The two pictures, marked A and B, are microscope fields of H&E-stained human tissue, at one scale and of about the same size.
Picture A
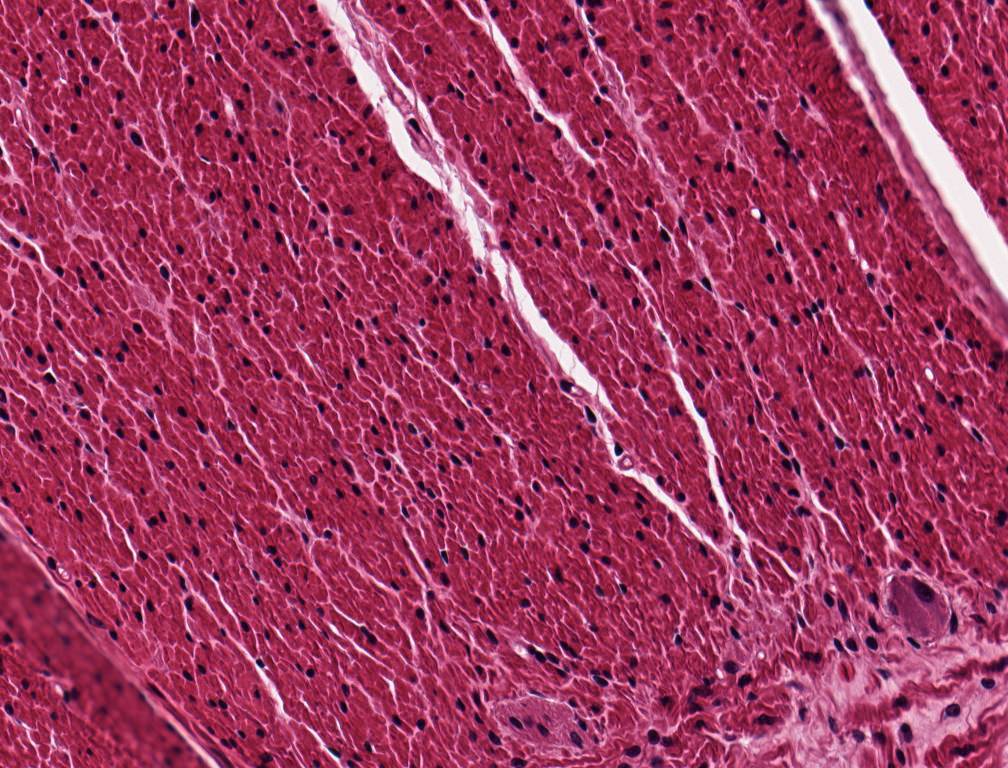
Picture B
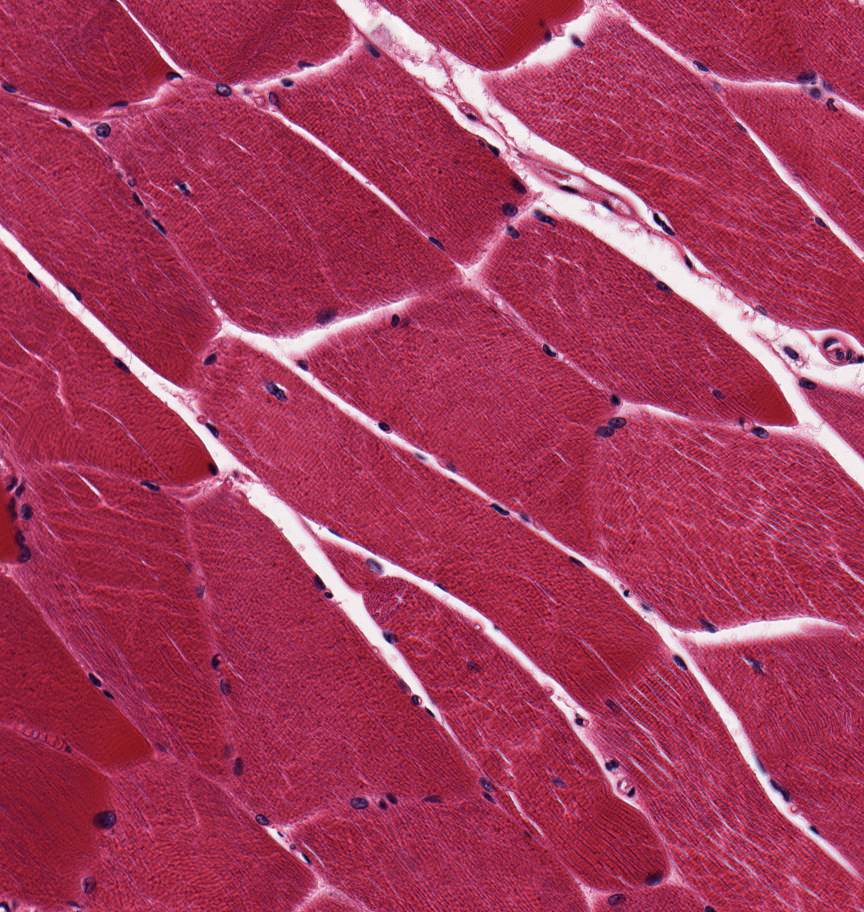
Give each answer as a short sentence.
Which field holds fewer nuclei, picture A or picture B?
There are fewer nuclei in picture B.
